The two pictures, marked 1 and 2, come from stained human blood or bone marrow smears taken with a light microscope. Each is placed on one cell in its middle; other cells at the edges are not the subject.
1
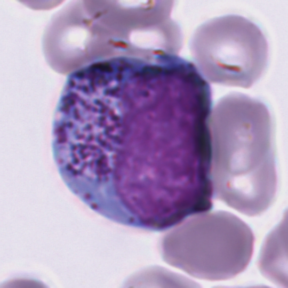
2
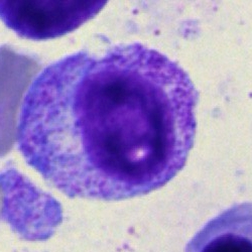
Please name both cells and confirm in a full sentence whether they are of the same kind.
No, crop 1 captures a promyelocyte; meanwhile crop 2 captures a myelocyte.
